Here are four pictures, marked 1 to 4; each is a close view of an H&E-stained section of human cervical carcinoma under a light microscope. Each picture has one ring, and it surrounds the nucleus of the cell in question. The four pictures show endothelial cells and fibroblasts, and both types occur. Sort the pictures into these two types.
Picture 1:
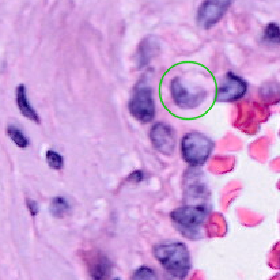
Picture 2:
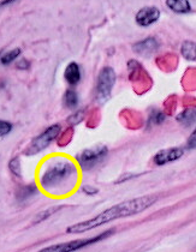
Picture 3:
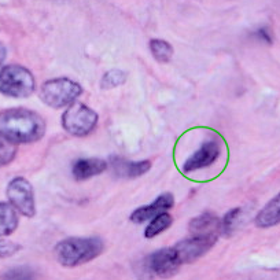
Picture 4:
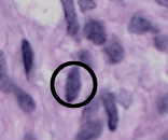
1: endothelial cell
2: endothelial cell
3: fibroblast
4: fibroblast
